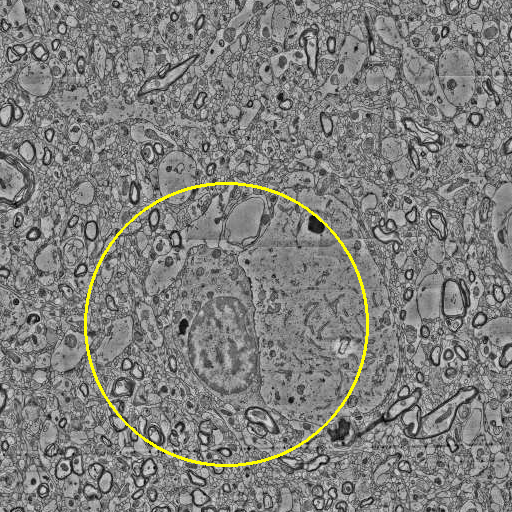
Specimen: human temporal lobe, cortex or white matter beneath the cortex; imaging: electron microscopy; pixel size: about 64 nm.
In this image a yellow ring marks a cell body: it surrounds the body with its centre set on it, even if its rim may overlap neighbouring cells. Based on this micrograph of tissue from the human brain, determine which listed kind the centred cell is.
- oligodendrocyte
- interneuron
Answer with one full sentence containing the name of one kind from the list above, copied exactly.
It is an oligodendrocyte whose body the yellow ring encloses at its centre.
